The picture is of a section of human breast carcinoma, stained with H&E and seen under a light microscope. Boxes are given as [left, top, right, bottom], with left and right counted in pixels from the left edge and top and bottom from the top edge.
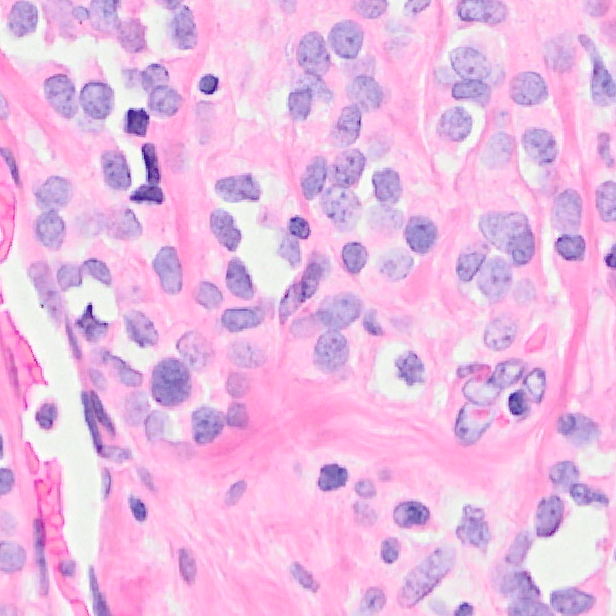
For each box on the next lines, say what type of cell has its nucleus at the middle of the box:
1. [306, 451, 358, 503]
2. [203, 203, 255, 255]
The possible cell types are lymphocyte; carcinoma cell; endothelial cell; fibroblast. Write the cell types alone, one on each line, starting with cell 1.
lymphocyte
carcinoma cell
